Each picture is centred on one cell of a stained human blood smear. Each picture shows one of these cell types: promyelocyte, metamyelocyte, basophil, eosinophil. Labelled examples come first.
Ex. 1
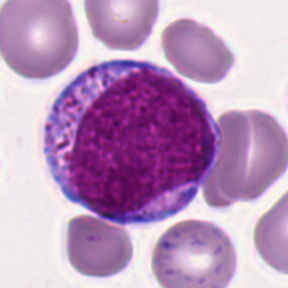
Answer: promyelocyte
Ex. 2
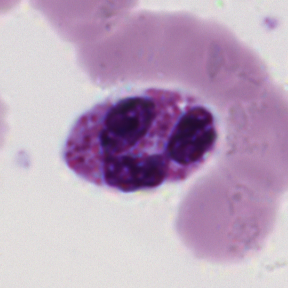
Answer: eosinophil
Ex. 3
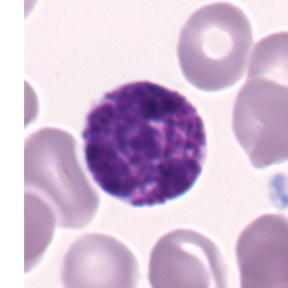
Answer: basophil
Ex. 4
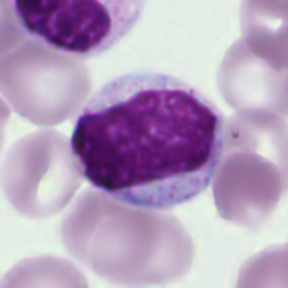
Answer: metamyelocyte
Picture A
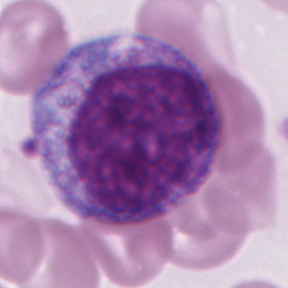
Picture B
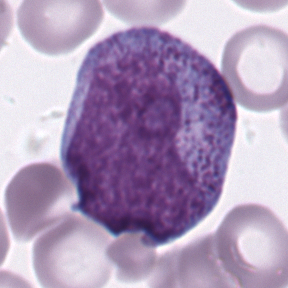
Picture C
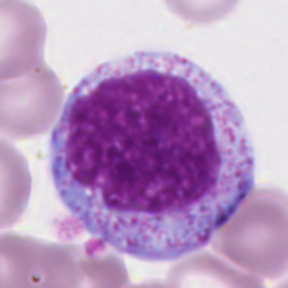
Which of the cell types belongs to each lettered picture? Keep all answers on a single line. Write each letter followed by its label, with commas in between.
A promyelocyte, B promyelocyte, C promyelocyte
